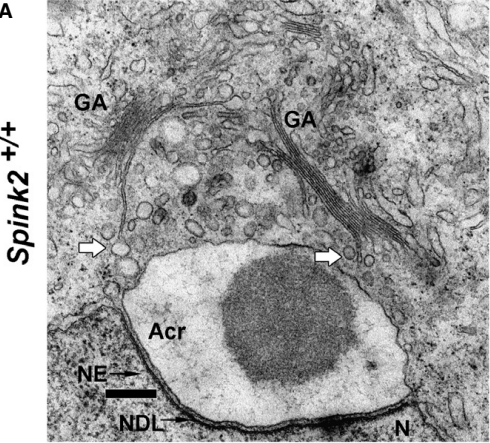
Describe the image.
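Partial section of a round spermatid at the onset of acrosome formation. A large pale membrane-bound vesicle with a dense central granule lies flattened against the nucleus, where the nuclear envelope is underlain by a dense lamina. Two stacks of flattened cisternae lie above it, with small round vesicles gathering at the edges of the large vesicle.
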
